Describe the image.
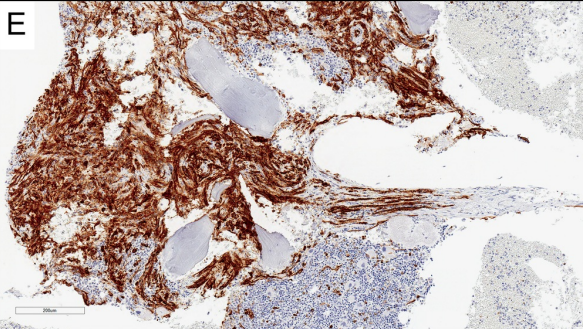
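Bone marrow with clustered atypical spindled cells stained deep brown, forming interlacing bundles around pale unstained bone trabeculae. The surrounding round marrow cells remain blue and unstained.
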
